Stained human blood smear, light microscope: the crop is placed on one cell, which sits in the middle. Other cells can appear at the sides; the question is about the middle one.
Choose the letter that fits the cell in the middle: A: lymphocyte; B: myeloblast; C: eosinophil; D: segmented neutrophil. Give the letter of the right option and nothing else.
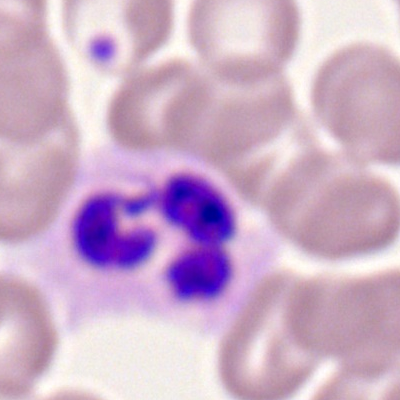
D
